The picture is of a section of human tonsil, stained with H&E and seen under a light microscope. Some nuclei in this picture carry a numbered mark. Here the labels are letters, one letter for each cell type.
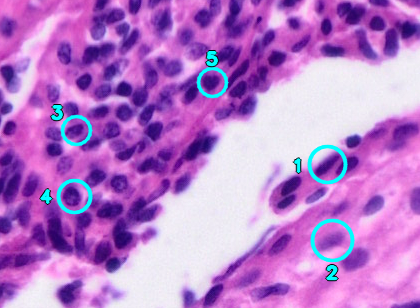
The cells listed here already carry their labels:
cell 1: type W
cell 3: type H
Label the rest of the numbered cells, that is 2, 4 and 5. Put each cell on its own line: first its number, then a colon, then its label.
2: type W
4: type H
5: type H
